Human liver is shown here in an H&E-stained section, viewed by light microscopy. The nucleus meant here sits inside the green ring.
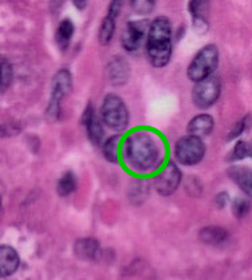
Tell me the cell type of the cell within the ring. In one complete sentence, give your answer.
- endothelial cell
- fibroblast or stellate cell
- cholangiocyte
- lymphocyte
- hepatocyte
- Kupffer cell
The identity of the cell within the ring: it is a cholangiocyte.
